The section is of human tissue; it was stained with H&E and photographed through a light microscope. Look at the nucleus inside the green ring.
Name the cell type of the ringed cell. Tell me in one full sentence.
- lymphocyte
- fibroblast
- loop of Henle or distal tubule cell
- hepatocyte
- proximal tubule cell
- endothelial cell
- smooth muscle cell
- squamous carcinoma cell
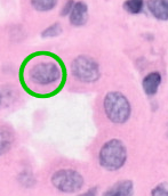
In the context of this tissue, the ringed cell is a loop of Henle or distal tubule cell.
